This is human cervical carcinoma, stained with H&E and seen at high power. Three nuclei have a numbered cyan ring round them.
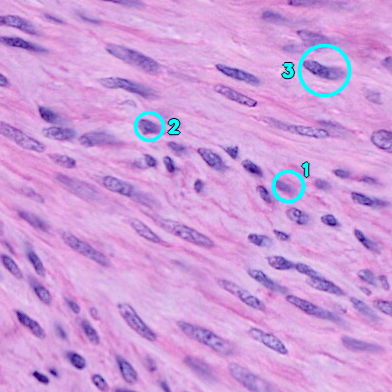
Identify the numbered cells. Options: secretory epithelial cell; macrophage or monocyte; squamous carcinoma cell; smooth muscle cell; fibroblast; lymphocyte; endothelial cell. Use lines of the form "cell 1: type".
cell 1: smooth muscle cell
cell 2: smooth muscle cell
cell 3: fibroblast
